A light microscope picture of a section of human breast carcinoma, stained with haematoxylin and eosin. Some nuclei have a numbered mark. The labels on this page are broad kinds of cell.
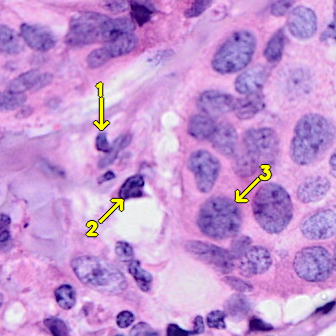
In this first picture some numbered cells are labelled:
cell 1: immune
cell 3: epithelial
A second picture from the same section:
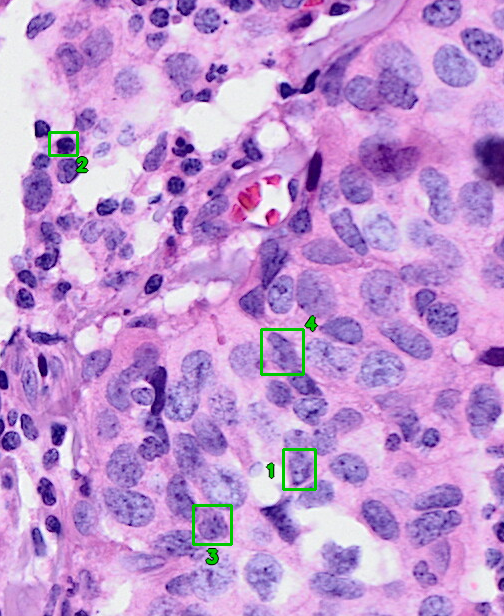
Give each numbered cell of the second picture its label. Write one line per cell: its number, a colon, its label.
1: epithelial
2: immune
3: epithelial
4: epithelial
